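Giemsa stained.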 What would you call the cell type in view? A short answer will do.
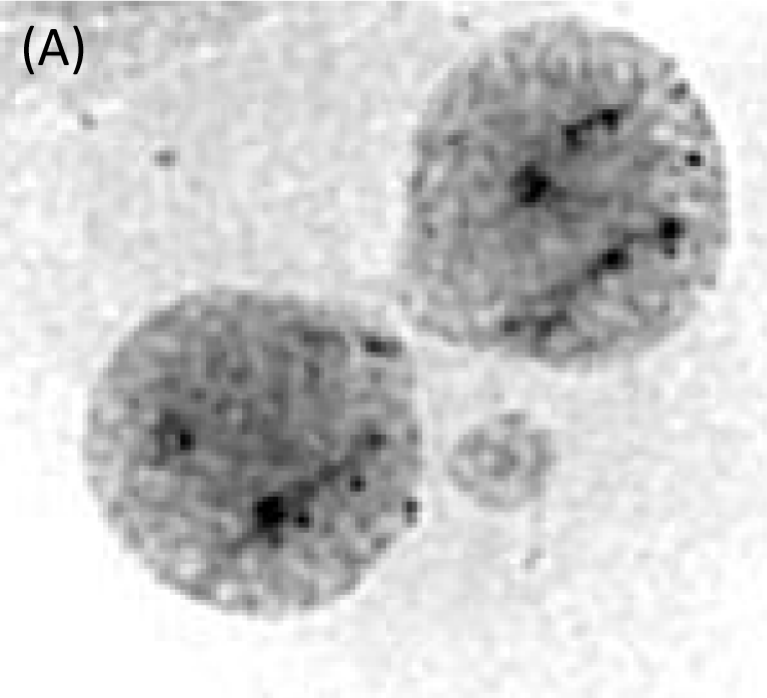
Binucleates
